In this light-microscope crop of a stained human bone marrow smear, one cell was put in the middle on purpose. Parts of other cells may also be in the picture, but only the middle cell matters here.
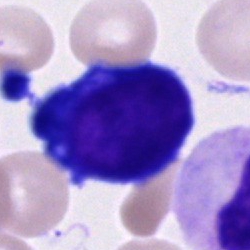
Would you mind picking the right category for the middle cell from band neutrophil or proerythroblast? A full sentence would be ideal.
At the middle of the frame sits a proerythroblast.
